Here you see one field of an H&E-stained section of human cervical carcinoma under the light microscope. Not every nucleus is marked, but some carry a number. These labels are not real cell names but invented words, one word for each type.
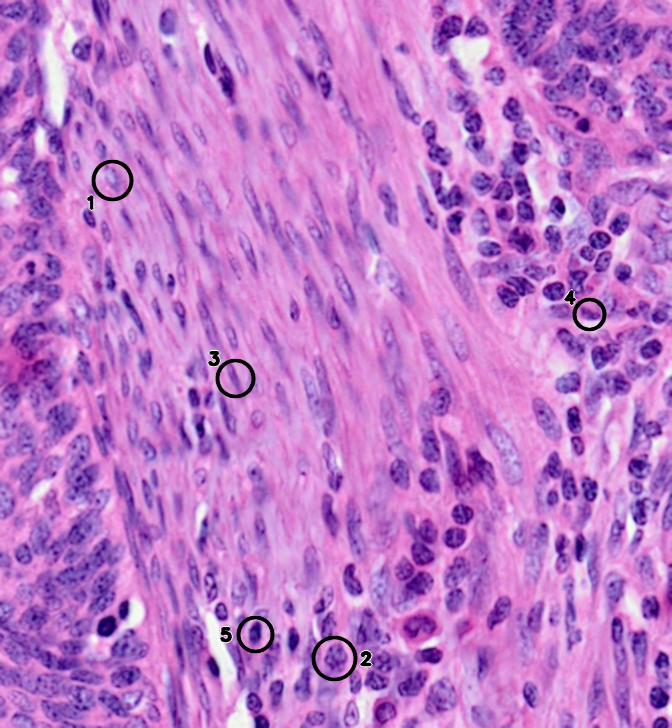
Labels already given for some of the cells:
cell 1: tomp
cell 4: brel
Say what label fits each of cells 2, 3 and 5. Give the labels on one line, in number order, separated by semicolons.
brel; tomp; brel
